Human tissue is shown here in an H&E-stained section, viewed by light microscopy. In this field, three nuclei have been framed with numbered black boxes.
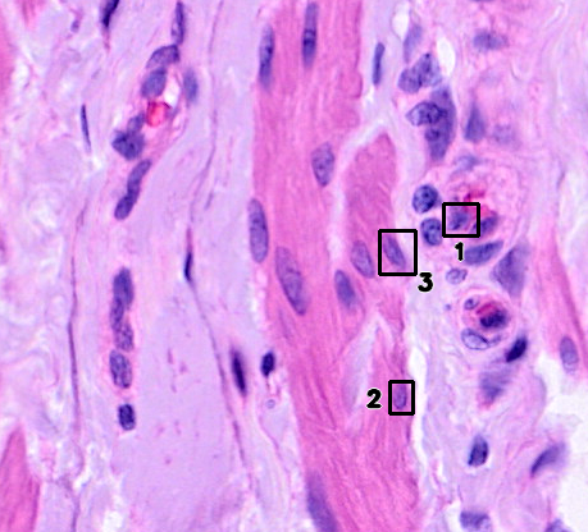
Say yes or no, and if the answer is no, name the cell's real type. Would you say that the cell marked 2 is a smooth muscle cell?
Yes.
